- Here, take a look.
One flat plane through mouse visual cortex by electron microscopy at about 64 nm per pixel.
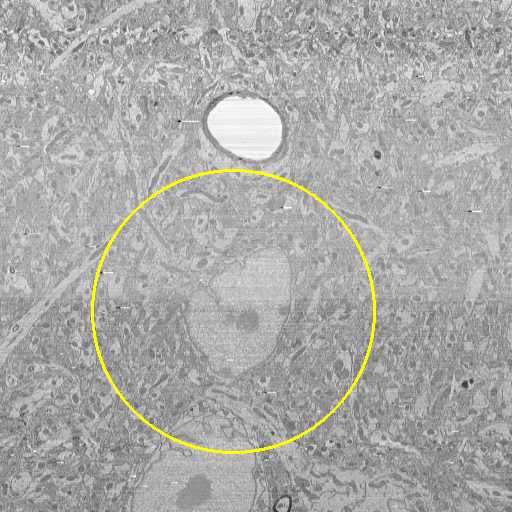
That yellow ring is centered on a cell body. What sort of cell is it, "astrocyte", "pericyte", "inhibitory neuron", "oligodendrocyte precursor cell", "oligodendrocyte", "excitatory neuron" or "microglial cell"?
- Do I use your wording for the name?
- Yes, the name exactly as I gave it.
astrocyte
